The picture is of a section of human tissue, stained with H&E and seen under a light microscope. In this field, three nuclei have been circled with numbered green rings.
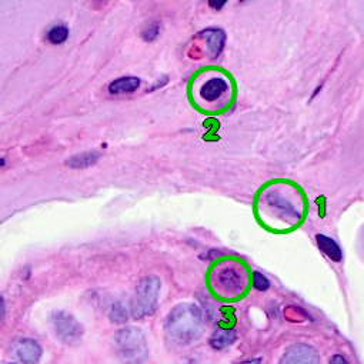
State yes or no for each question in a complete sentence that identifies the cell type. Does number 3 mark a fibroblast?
No, for cell 3, the correct identification is a mast cell instead of a fibroblast.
